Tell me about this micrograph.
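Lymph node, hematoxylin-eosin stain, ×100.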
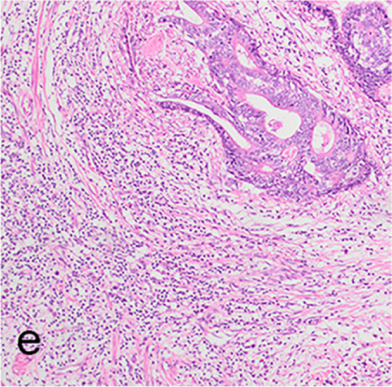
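In the upper right, the tumor cells form irregular, angulated glands with open lumens. The glands are lined by crowded columnar cells with enlarged, dark purple nuclei. Around them lies pink, fibrous stroma holding many small, dark, scattered nuclei, and wavy bundles of pink collagen run through the lower and left parts of the field.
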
